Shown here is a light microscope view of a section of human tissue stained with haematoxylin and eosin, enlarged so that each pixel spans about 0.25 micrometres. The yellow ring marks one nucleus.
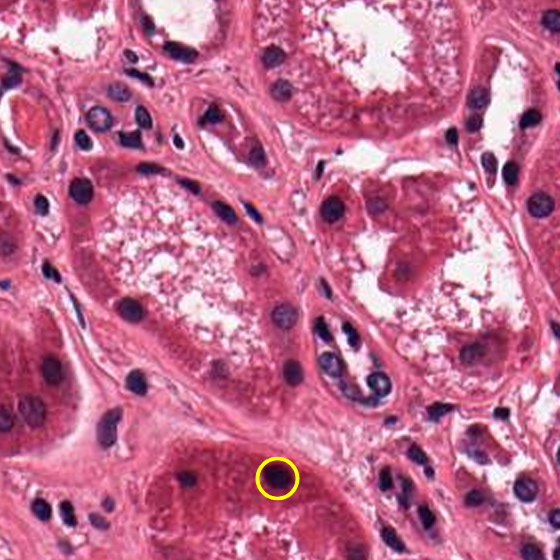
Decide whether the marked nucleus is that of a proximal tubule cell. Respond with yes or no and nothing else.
yes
